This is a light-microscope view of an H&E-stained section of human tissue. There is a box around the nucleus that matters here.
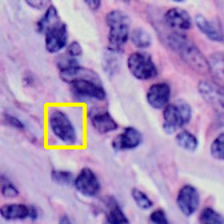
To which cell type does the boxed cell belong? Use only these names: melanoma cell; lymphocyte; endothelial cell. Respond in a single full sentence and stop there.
The category to which the boxed cell belongs is that of a lymphocyte.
